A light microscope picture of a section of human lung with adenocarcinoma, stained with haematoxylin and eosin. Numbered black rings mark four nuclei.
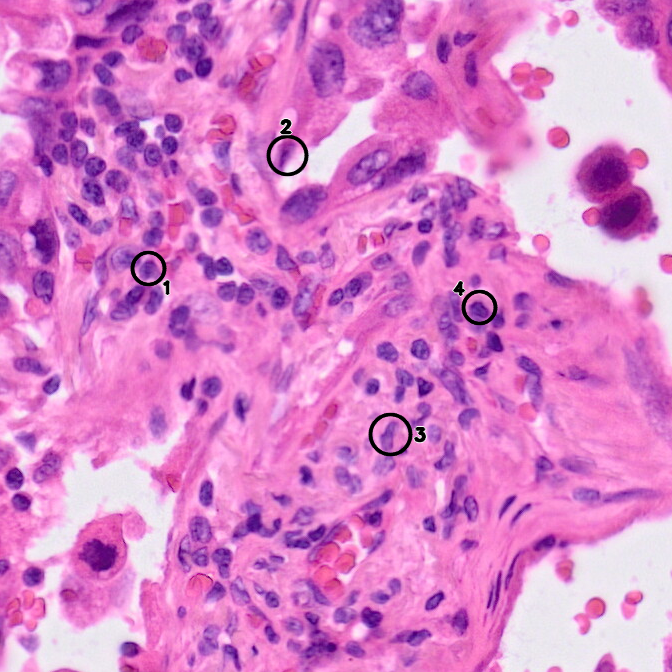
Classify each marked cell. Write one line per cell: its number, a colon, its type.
1: lymphocyte
2: carcinoma cell
3: lymphocyte
4: lymphocyte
